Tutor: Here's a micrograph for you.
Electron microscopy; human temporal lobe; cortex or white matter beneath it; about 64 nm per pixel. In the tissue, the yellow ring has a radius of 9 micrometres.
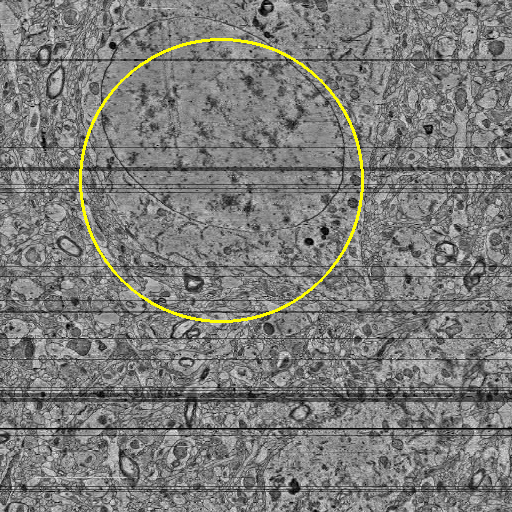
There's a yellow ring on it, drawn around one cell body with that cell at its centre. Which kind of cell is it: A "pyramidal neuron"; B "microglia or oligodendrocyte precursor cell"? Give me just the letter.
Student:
A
